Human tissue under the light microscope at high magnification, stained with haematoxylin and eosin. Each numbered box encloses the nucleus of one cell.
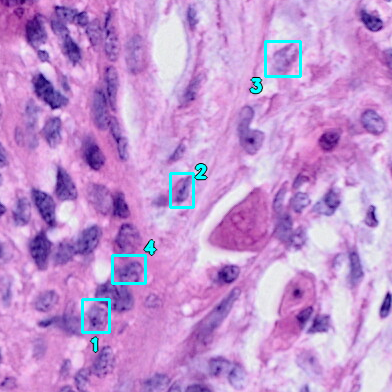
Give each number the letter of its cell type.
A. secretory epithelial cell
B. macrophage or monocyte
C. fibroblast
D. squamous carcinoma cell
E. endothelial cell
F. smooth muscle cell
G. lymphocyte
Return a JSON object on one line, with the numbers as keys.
{"1": "D", "2": "C", "3": "C", "4": "D"}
